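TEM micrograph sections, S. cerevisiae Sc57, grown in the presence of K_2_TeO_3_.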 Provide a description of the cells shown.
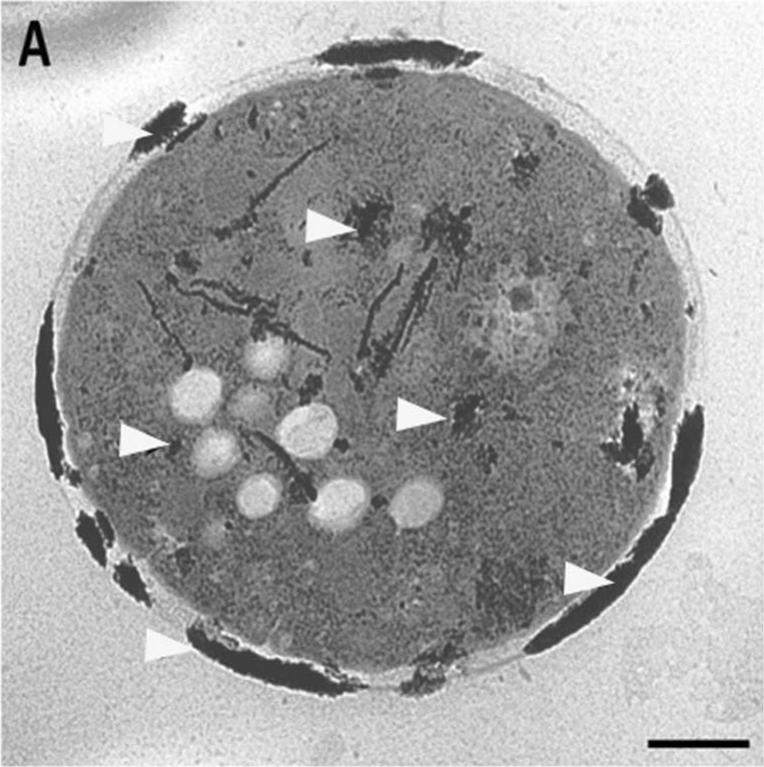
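This is a whole yeast cell cut in thin section, round in outline and bounded by a pale cell wall. Along the outside of the wall lie long, crescent-shaped black electron-dense deposits, and smaller black clumps and dark streaks are scattered through the grey, finely granular cytoplasm. A cluster of round, pale, vesicle-like bodies sits in the lower left part of the cell.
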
